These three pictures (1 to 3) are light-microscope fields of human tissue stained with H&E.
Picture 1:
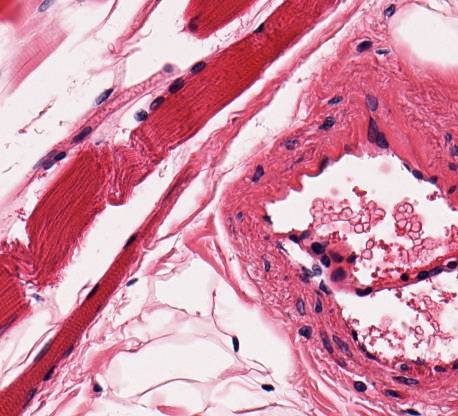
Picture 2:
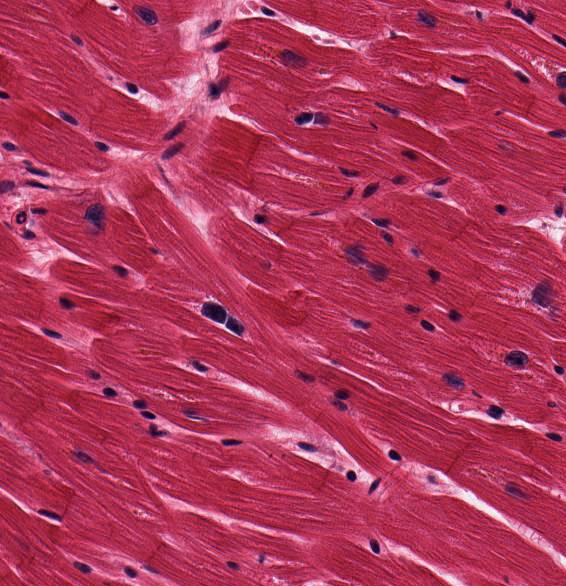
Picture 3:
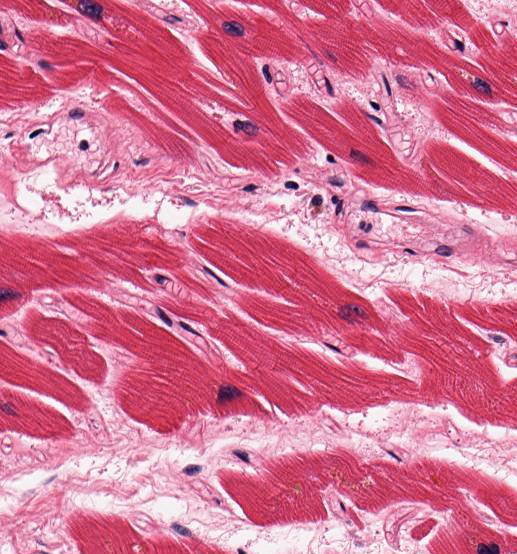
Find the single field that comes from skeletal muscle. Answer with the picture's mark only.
1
